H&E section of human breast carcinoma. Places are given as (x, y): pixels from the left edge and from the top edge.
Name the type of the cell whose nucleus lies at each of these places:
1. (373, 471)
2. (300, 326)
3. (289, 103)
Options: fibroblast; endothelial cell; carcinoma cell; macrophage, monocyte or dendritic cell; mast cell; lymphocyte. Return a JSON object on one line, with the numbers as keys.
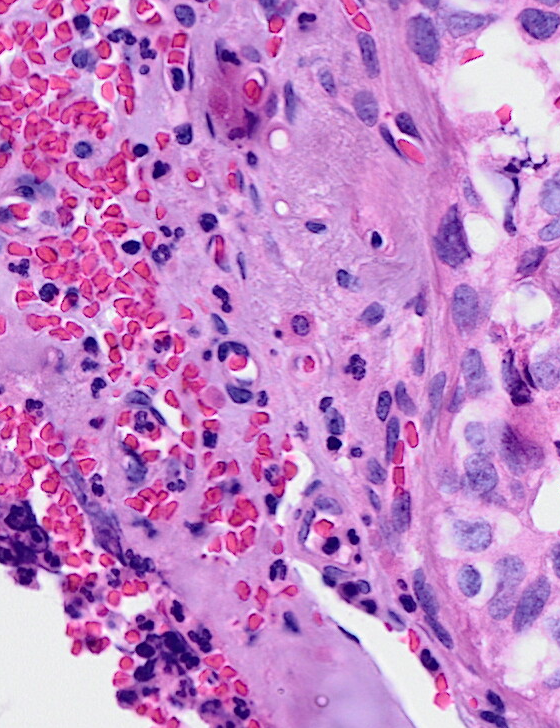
{"1": "endothelial cell", "2": "mast cell", "3": "fibroblast"}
